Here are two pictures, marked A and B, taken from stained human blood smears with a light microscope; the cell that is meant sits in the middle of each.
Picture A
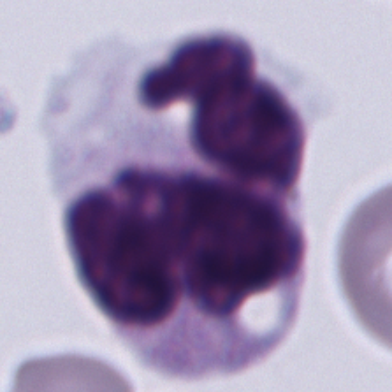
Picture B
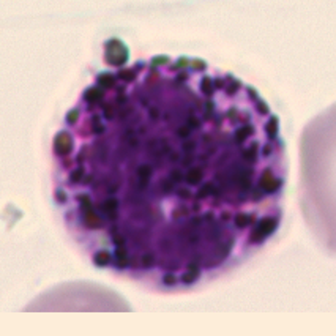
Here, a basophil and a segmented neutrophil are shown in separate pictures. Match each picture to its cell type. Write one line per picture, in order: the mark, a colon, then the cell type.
A: segmented neutrophil
B: basophil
